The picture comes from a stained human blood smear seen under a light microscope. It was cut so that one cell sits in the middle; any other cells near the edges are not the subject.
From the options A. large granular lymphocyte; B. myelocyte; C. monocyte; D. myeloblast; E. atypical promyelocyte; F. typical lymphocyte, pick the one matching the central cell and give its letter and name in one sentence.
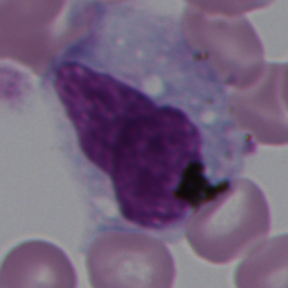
The cell centred in the crop is a monocyte, and the correct option is thus C.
